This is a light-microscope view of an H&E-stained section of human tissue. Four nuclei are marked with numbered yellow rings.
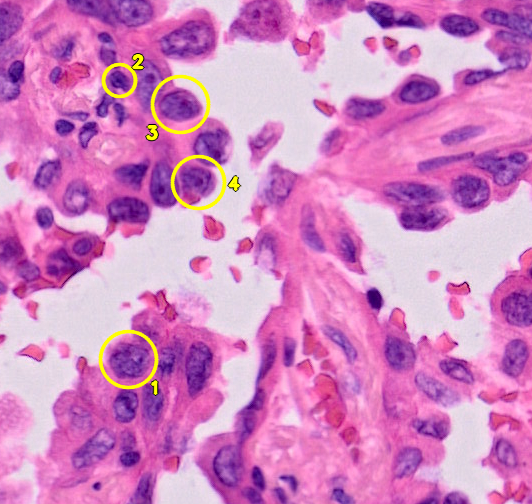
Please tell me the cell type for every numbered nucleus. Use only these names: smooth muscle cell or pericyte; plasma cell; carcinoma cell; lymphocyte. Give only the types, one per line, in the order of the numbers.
carcinoma cell
lymphocyte
carcinoma cell
carcinoma cell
